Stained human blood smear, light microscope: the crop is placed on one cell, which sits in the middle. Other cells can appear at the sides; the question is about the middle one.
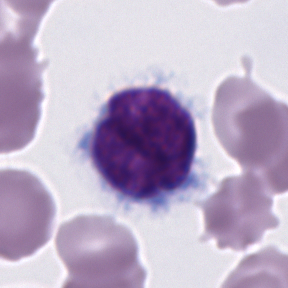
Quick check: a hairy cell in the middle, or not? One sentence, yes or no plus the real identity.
Yes, the cell in the middle of this smear crop is a hairy cell.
